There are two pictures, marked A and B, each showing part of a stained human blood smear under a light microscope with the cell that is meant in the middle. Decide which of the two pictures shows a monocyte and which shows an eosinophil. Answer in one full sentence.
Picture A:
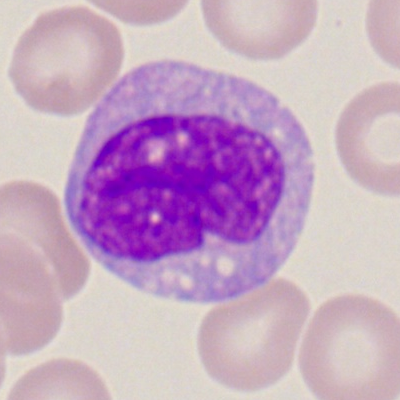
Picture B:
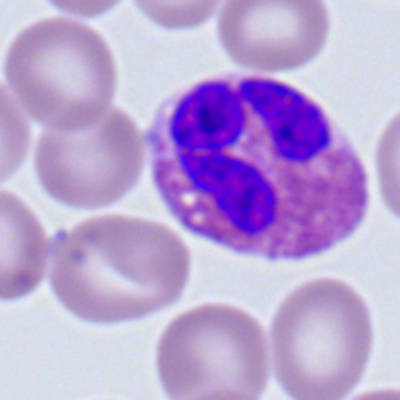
Picture A is of a monocyte, and picture B is of an eosinophil.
